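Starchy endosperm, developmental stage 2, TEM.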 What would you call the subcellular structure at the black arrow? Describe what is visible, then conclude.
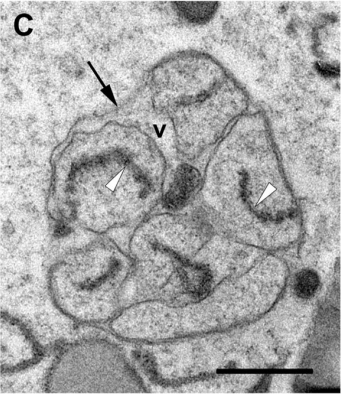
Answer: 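The arrow points to a thin membrane bounding the compartment that holds the rounded bodies. So: tonoplast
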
